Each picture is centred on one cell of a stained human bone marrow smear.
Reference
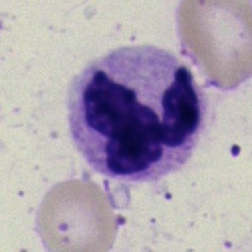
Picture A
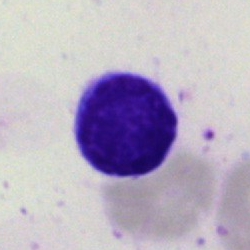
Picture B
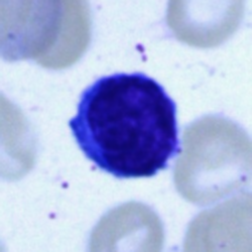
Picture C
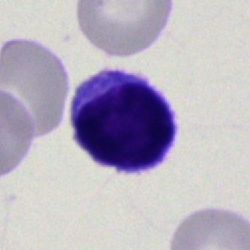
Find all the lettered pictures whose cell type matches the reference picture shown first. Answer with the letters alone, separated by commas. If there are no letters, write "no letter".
no letter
